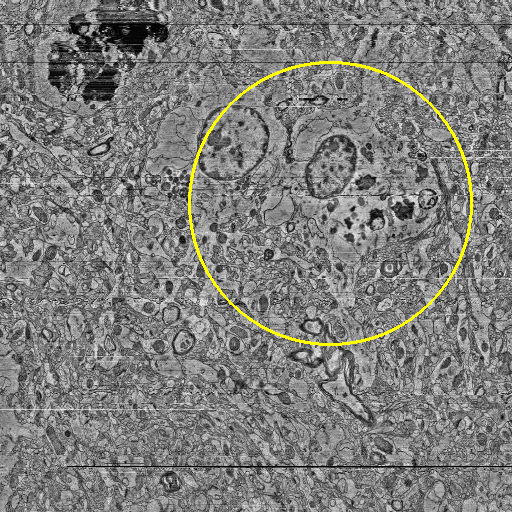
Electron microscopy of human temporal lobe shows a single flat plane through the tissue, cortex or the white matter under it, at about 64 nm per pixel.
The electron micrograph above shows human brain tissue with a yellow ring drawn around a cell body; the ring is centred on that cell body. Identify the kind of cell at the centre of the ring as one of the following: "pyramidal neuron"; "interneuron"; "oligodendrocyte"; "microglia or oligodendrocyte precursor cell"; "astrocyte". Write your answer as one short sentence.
The cell at the centre of the ring is an astrocyte.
